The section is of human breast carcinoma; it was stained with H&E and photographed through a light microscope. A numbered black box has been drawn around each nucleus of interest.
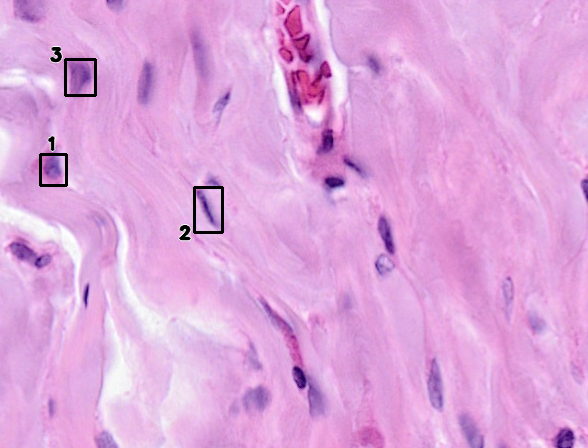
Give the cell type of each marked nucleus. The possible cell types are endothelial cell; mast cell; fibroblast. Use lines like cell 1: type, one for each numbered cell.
cell 1: mast cell
cell 2: fibroblast
cell 3: fibroblast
